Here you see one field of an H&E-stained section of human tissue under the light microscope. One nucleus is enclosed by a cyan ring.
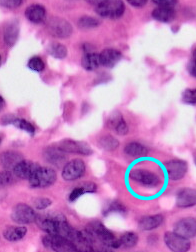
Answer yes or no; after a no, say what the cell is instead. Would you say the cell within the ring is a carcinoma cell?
Yes.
